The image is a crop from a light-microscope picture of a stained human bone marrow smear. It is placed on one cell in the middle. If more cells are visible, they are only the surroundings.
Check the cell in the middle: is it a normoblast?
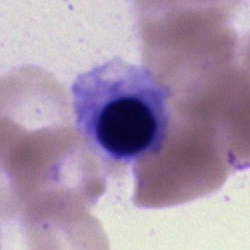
yes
